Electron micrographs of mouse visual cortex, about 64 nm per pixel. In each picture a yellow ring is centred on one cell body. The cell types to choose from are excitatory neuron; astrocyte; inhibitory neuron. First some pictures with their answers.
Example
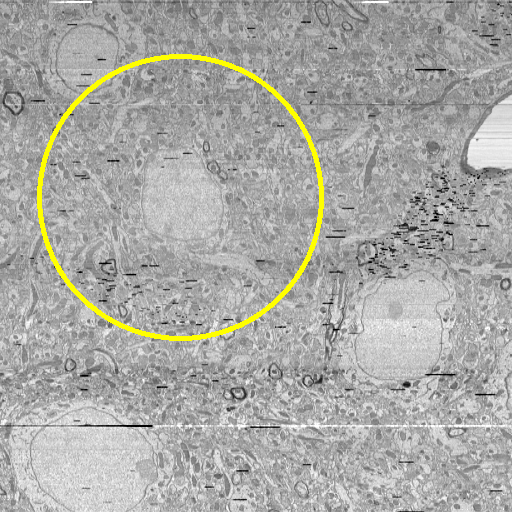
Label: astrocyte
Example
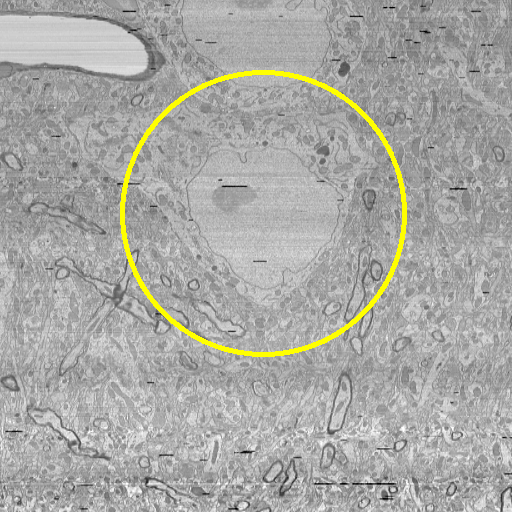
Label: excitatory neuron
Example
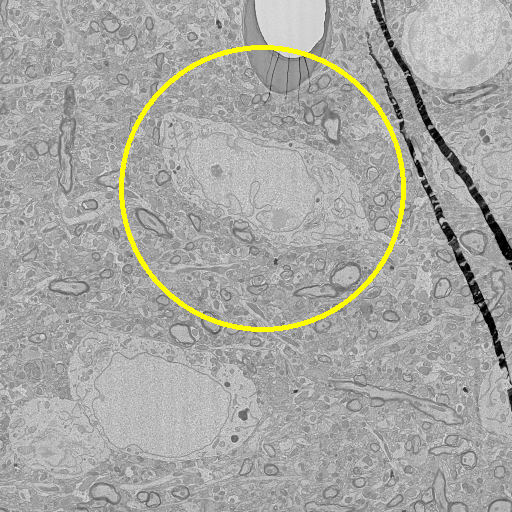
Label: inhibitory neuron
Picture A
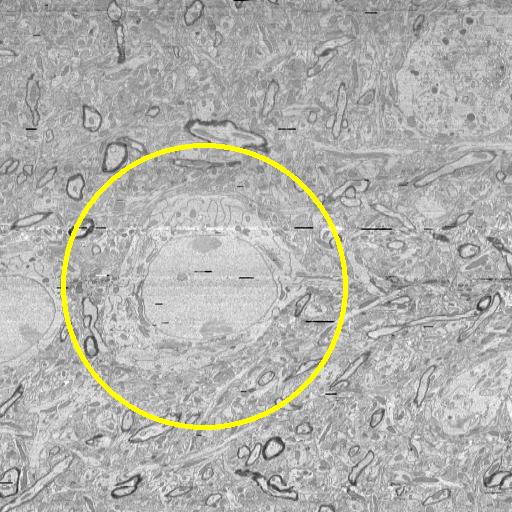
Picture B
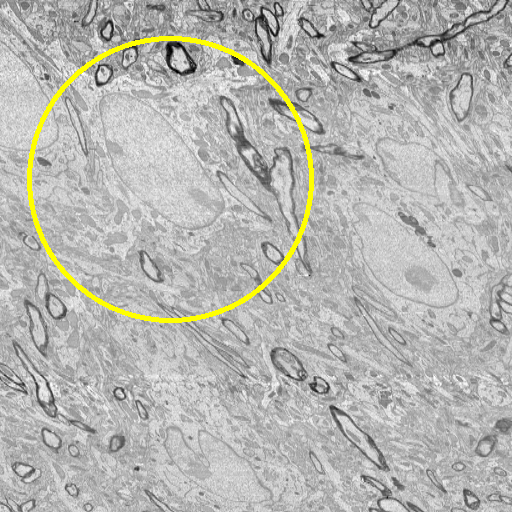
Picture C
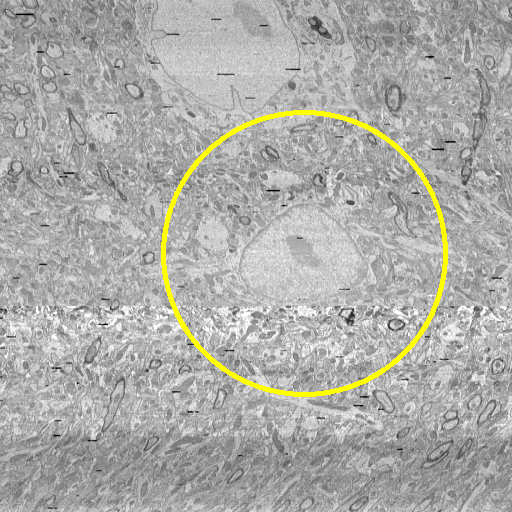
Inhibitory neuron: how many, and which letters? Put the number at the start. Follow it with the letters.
0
